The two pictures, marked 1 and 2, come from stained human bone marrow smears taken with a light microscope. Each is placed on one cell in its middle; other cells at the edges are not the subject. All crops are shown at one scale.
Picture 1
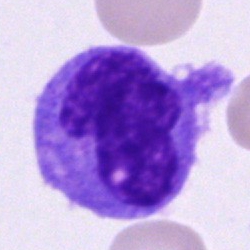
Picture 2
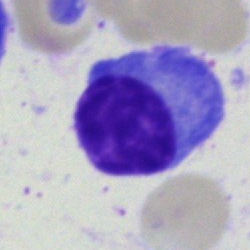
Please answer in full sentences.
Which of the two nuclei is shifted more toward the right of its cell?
Seen within its cell, the nucleus in picture 1 lies further toward the right.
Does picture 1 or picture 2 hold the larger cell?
The cell in picture 1 is larger, with about 1.5 times the area of the one in picture 2.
